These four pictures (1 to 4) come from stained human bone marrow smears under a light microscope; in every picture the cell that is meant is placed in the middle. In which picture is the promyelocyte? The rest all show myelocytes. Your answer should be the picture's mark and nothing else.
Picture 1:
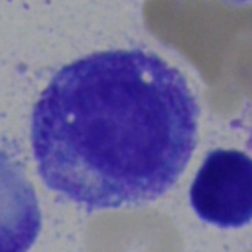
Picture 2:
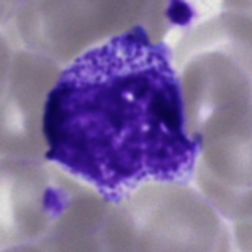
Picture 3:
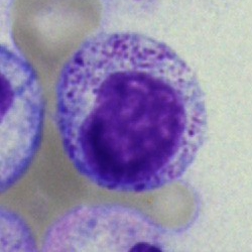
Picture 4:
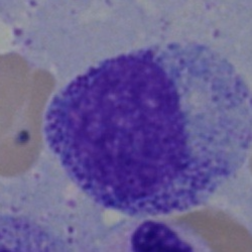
4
